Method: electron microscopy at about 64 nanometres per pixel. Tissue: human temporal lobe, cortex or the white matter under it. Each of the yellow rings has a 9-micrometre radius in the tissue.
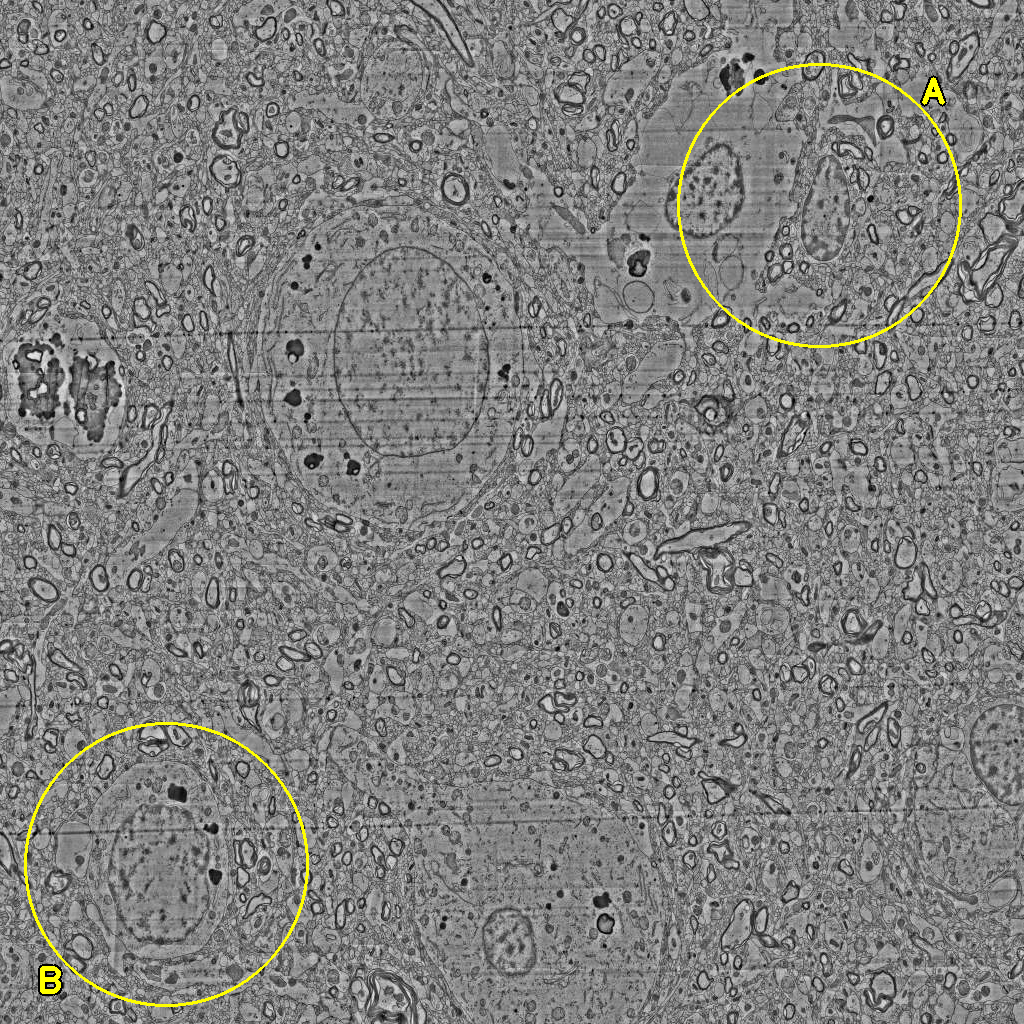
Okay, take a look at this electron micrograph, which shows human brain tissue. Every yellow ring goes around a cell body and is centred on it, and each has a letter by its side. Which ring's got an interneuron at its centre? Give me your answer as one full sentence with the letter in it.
The one you're after is ring B, centred on the cell you asked about.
